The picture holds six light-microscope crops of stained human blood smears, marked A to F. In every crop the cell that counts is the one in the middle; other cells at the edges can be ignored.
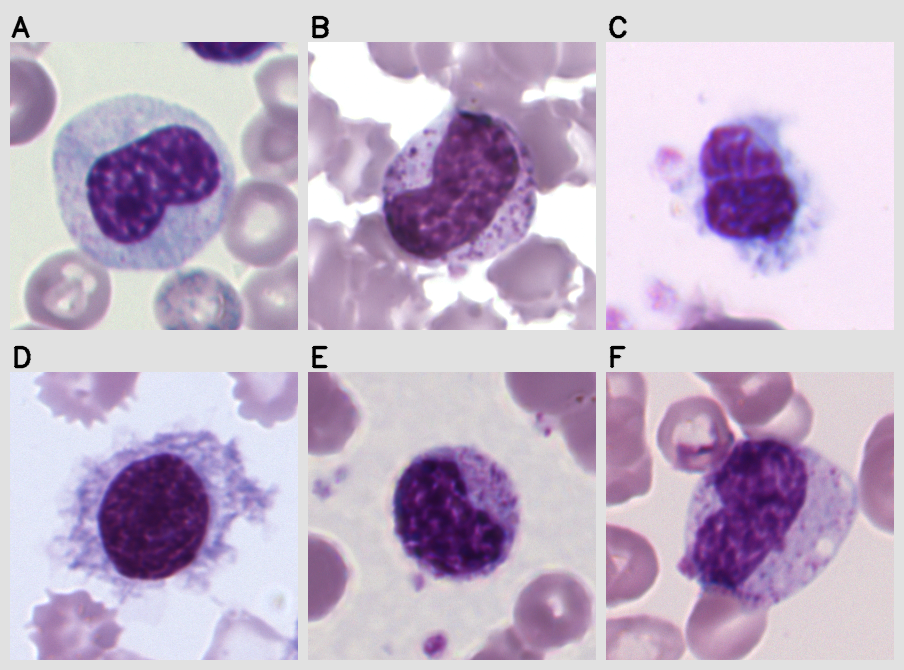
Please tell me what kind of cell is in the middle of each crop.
A: metamyelocyte
B: metamyelocyte
C: hairy cell
D: hairy cell
E: metamyelocyte
F: metamyelocyte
